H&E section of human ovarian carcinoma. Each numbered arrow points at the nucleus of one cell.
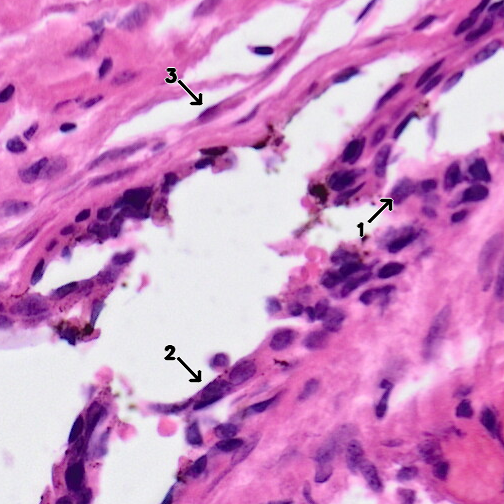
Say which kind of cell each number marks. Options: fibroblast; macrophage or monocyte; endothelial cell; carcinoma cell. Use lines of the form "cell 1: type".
cell 1: carcinoma cell
cell 2: carcinoma cell
cell 3: fibroblast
